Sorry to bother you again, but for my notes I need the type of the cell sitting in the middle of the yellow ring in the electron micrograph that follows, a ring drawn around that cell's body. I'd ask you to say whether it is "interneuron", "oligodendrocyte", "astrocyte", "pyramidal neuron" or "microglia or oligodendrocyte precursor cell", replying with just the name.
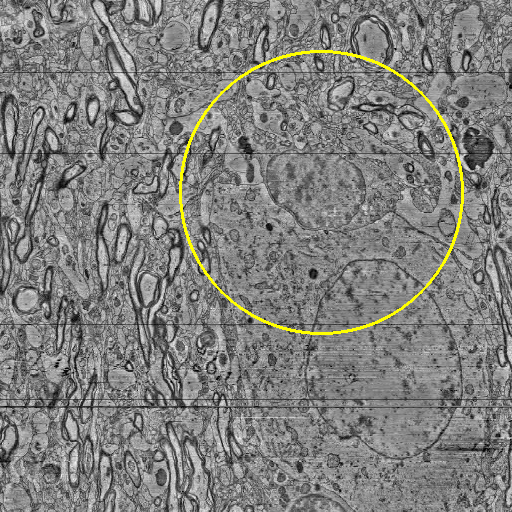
oligodendrocyte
